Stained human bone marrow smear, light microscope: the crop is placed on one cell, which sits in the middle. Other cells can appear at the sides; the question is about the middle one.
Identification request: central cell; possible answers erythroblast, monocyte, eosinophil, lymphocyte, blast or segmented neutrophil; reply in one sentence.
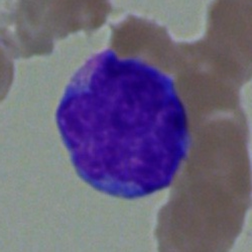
The cell in the middle of this crop is a blast.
